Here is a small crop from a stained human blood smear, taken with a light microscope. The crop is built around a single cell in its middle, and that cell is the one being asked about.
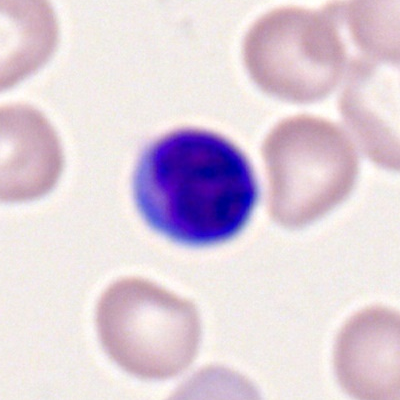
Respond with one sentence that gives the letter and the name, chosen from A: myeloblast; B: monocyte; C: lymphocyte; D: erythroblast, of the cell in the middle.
Here the right option is C, as the cell in the middle is a lymphocyte.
